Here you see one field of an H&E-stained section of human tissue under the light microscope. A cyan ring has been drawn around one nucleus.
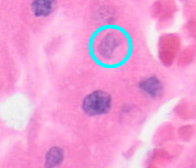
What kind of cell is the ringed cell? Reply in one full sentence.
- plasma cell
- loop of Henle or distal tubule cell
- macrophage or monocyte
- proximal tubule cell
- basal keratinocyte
This is a proximal tubule cell.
